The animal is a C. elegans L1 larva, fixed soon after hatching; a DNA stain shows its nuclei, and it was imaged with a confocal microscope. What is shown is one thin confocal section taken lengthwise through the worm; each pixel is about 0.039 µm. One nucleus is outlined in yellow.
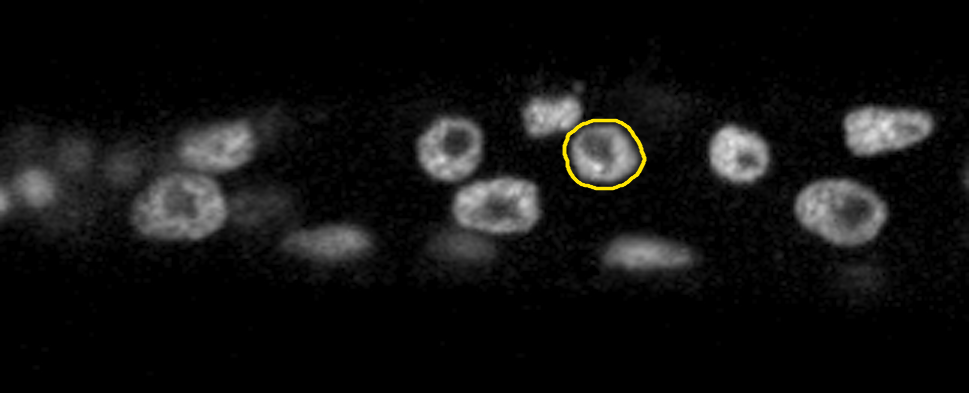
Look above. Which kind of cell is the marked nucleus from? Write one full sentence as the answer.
The cell with the marked nucleus is a seam cell.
